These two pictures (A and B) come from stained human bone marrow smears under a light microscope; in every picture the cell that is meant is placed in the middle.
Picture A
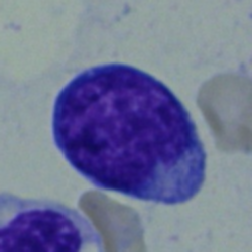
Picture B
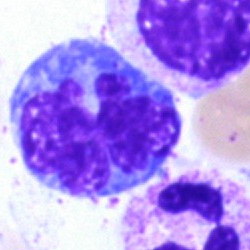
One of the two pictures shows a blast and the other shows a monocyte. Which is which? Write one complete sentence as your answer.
Picture B shows a monocyte, while picture A shows a blast.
